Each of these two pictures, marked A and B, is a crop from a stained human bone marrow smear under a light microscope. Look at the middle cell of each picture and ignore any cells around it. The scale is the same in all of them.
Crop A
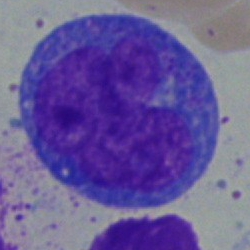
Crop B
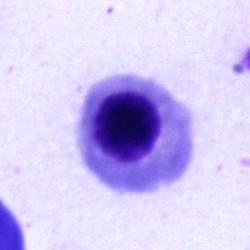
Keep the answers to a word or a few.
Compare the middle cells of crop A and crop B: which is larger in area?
A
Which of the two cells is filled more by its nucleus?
A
